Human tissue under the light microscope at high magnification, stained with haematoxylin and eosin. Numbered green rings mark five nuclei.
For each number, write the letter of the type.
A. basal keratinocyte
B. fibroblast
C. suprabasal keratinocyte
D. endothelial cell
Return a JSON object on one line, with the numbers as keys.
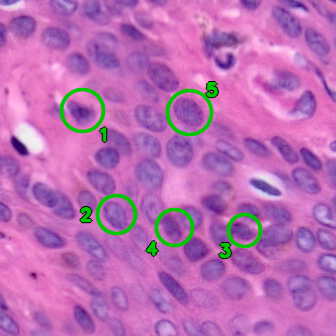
{"1": "B", "2": "C", "3": "A", "4": "A", "5": "A"}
